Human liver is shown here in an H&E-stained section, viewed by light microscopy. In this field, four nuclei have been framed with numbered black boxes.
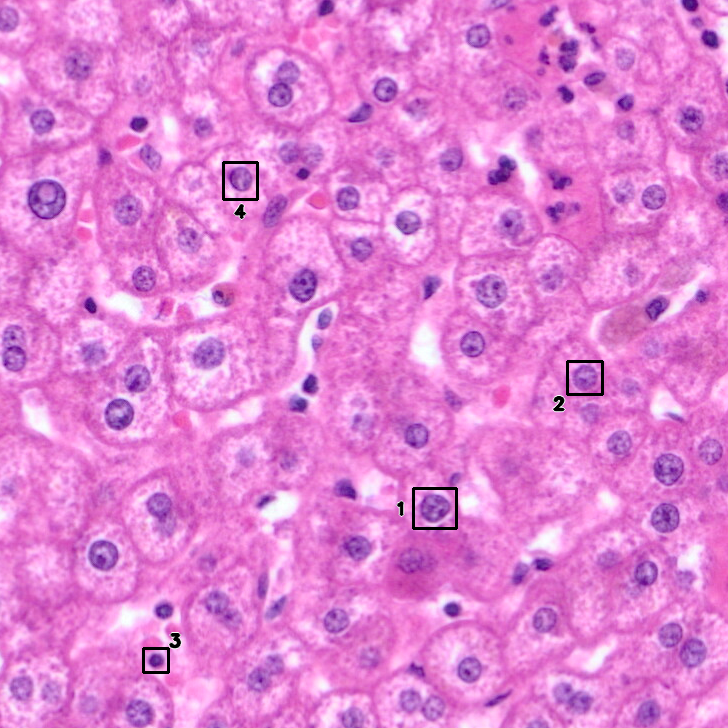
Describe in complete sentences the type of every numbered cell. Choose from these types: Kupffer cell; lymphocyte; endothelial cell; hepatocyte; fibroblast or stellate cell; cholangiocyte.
Cell 1 is a hepatocyte, cell 2 is a hepatocyte, cell 3 is a lymphocyte and cell 4 is a hepatocyte.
